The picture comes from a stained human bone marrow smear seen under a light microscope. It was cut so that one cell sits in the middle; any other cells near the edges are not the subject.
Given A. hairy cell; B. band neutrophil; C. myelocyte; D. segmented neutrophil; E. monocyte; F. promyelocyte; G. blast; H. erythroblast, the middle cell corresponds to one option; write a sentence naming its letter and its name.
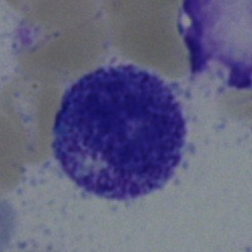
The cell centered in the crop is a myelocyte, making option C the correct pick.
